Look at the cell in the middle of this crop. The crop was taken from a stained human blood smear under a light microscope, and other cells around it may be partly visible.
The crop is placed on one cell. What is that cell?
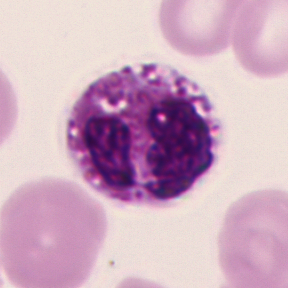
eosinophil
